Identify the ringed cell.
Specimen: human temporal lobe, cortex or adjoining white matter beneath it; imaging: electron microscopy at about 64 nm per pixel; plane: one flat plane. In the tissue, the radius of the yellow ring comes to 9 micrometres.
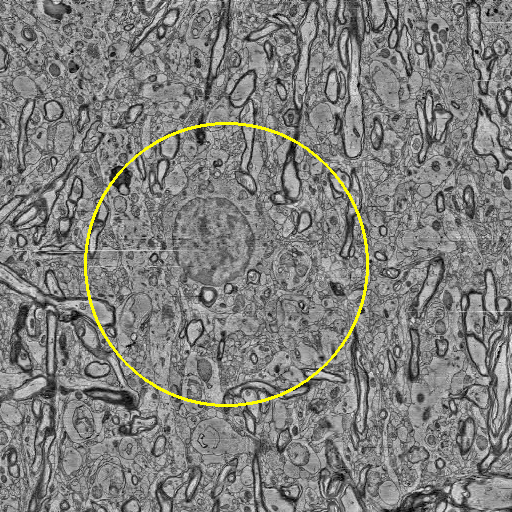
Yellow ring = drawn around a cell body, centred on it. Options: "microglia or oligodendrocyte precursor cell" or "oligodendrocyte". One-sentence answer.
What the ring is centred on is an oligodendrocyte.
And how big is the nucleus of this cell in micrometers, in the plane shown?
Approximately 6 micrometres across, in this plane.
